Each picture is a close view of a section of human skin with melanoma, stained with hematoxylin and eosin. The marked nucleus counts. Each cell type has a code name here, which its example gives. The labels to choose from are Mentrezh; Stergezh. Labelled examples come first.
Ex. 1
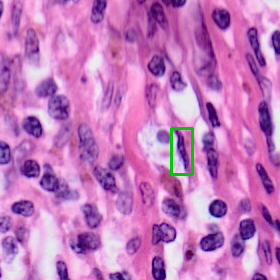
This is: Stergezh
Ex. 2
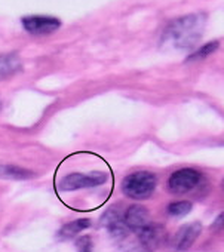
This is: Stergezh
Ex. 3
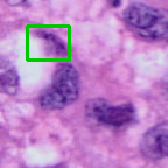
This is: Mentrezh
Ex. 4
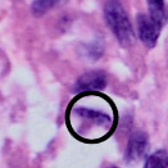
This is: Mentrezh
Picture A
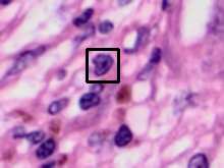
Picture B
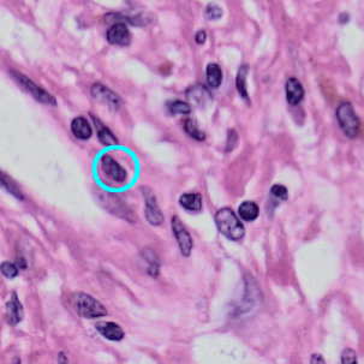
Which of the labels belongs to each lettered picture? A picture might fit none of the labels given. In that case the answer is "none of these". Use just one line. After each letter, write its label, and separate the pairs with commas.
A none of these, B none of these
